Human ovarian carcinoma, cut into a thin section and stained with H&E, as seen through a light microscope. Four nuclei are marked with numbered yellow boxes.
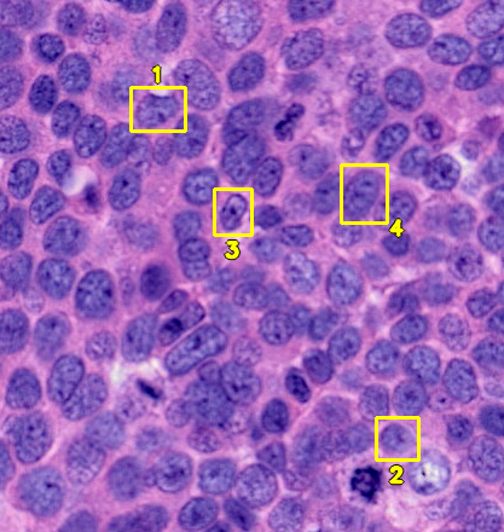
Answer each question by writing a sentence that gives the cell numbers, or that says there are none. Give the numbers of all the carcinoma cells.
The cells picked out by numbers 1, 2 and 4 are carcinoma cells.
